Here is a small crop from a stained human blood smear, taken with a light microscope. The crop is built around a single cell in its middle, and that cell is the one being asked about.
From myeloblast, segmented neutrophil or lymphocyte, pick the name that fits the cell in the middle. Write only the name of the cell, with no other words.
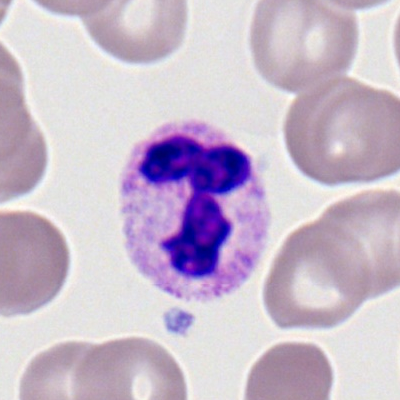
segmented neutrophil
